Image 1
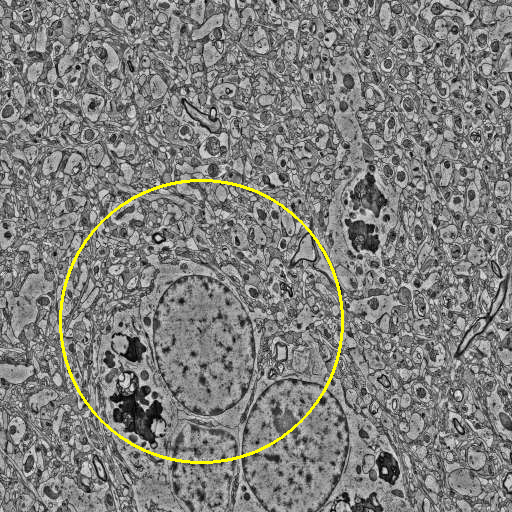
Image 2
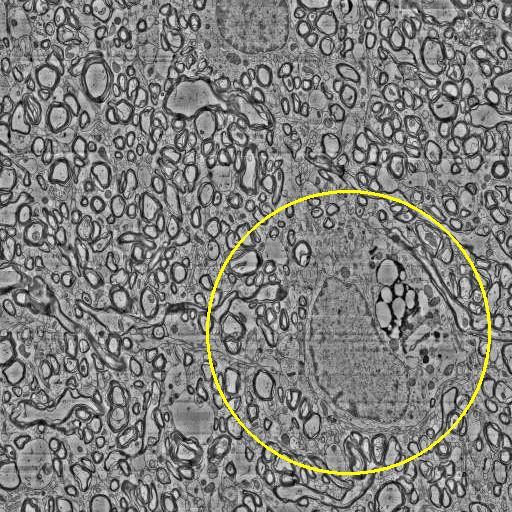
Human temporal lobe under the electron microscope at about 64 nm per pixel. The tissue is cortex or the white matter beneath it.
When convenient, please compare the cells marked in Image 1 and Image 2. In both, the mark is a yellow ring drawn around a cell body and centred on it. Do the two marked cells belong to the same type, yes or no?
yes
